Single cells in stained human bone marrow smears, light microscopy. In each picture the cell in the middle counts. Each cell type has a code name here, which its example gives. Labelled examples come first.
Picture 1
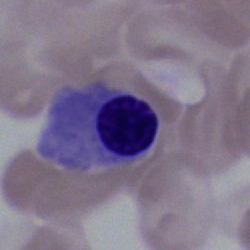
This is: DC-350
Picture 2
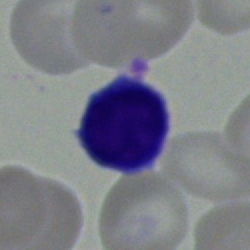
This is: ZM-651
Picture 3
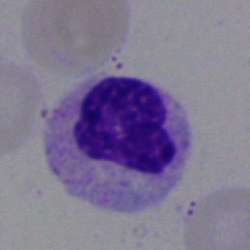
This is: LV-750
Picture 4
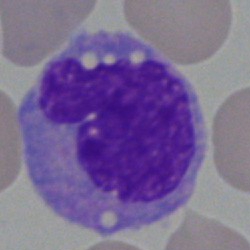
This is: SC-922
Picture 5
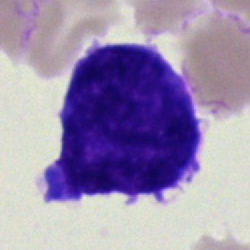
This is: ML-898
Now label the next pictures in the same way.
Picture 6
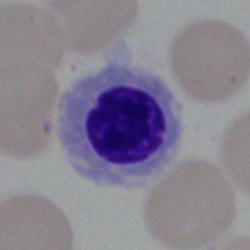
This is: DC-350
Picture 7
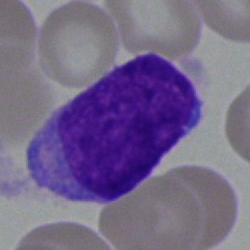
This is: ML-898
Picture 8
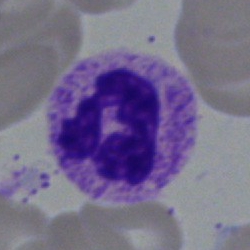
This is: LV-750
